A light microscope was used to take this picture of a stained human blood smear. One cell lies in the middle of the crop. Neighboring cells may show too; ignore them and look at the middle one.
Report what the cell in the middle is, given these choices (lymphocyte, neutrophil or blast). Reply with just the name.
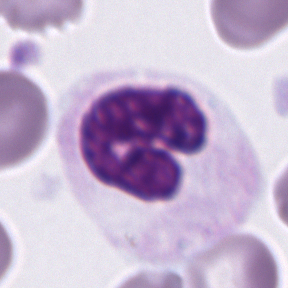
neutrophil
